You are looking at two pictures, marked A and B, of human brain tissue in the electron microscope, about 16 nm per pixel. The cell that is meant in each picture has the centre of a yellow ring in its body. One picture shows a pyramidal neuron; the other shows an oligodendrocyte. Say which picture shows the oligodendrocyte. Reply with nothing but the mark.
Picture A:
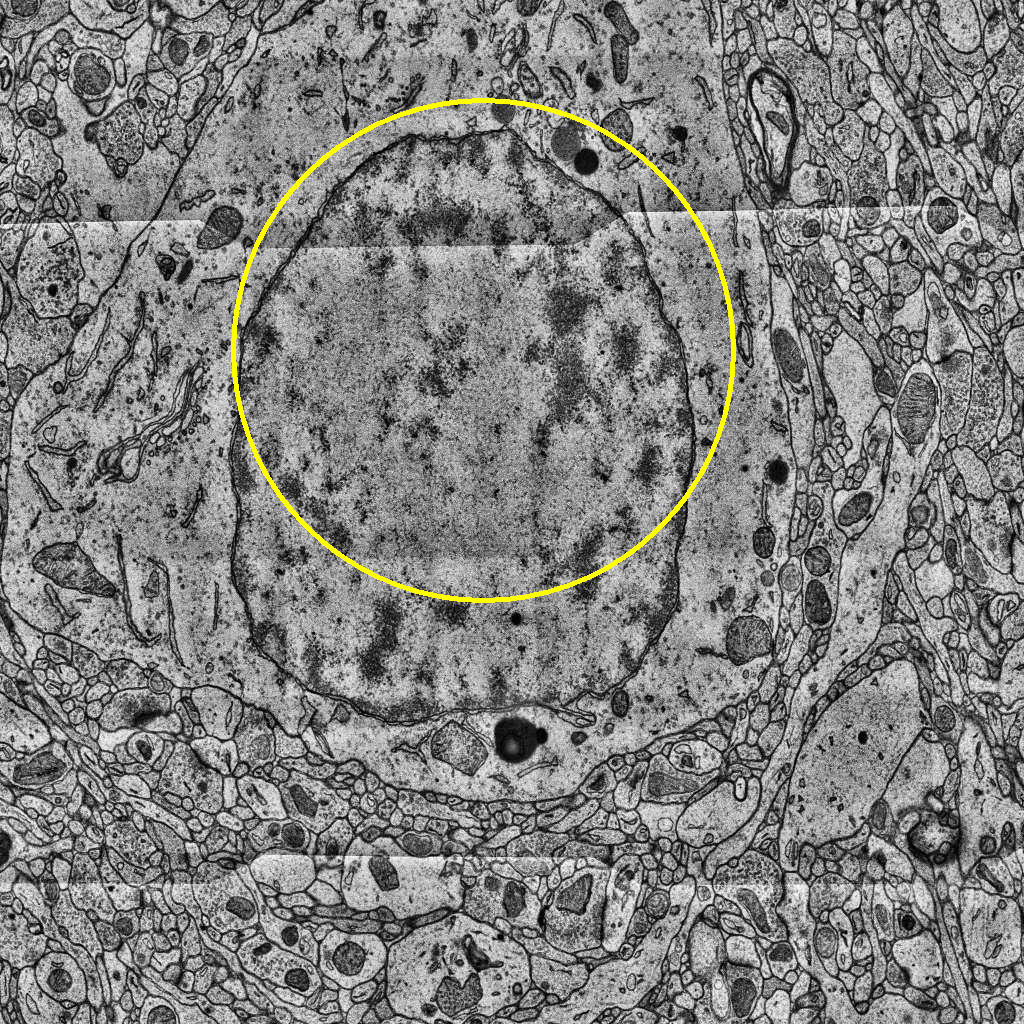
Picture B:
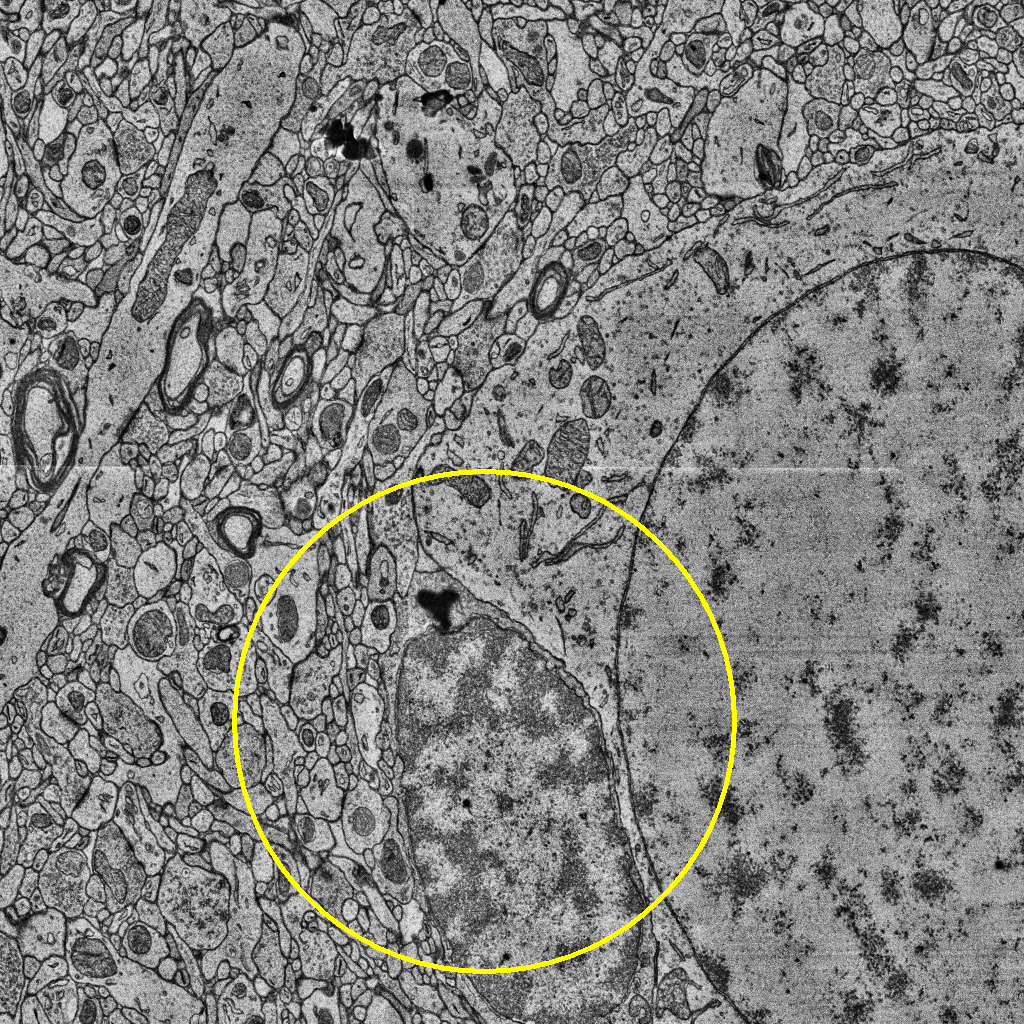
B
